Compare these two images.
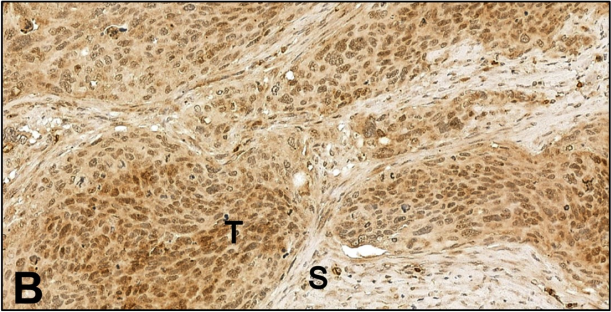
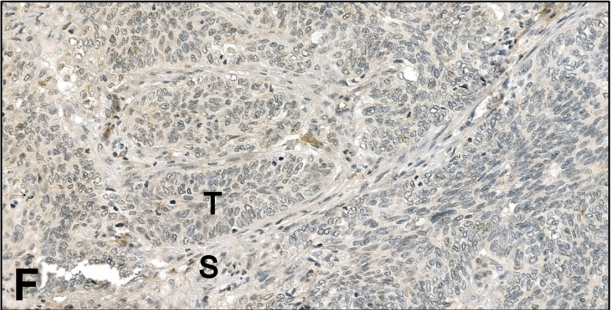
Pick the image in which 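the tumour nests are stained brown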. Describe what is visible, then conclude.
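Second image: the tumour nests are pale, with blue-grey nuclei and almost no brown. First image: the tumour nests are filled with diffuse brown staining. On this evidence: the first image.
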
